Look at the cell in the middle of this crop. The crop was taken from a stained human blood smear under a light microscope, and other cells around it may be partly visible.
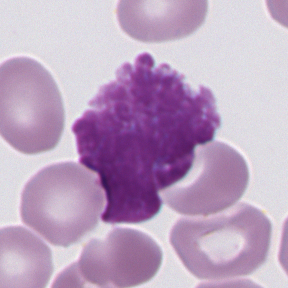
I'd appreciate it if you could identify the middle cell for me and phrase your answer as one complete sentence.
In this smear crop, the middle cell is a smudge cell.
